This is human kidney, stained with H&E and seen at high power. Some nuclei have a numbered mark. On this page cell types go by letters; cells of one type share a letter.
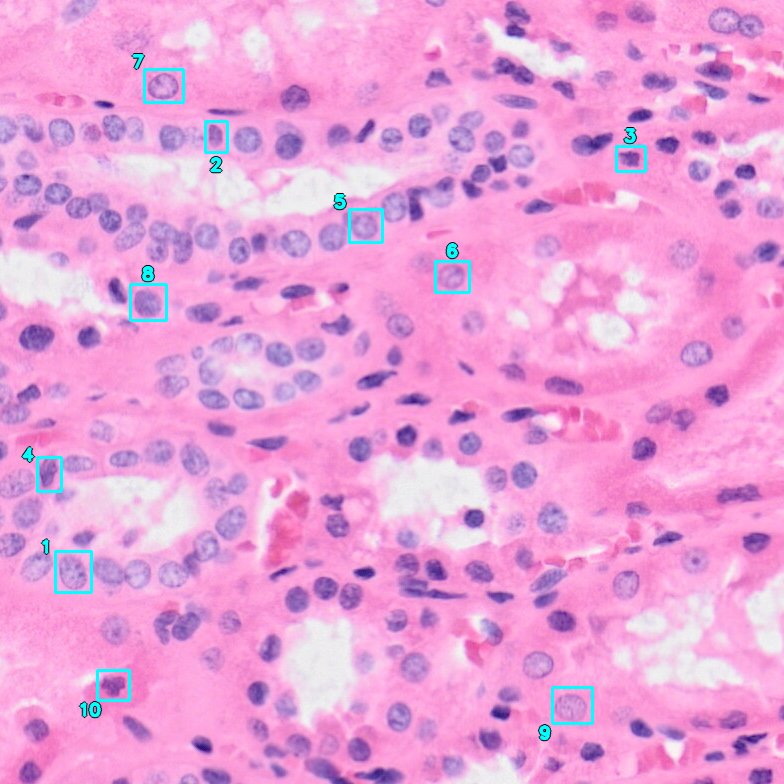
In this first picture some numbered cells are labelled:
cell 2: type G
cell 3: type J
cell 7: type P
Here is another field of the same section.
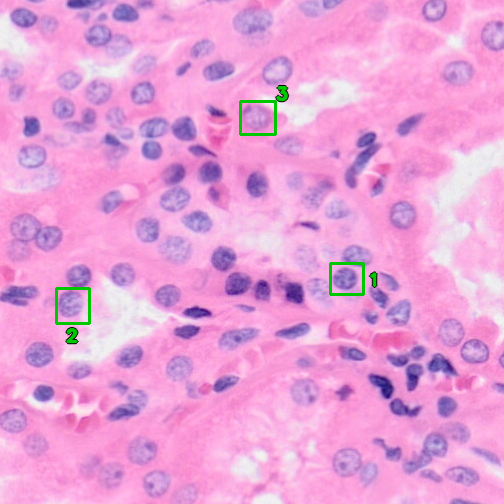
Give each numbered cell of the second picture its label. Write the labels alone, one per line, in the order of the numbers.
type G
type J
type P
